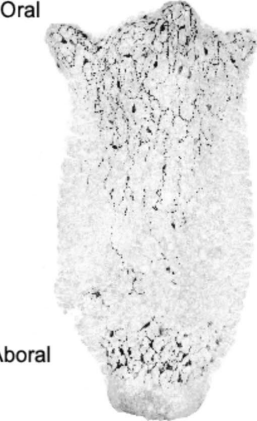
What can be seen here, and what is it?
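Dark cell bodies are small and bear long thin branching processes. The network is densest at the oral end, which is domed with small lateral bulges, and processes run down along the body column. A second dense cluster of labelled cells lies toward the aboral end above the basal region. The mid-body carries only scattered labelled fibres.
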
